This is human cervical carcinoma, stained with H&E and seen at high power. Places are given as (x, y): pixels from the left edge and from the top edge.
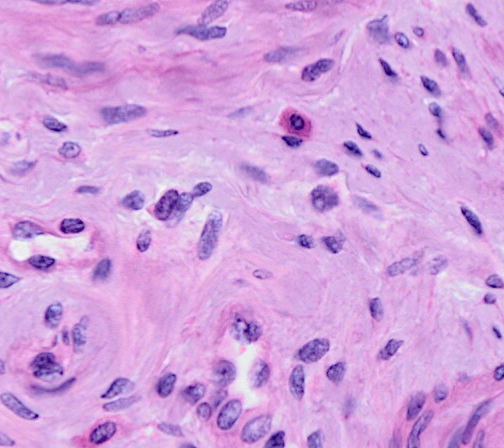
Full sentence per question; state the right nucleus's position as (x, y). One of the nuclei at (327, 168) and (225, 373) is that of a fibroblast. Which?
Between the pair, the nucleus at (327, 168) belongs to a fibroblast.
